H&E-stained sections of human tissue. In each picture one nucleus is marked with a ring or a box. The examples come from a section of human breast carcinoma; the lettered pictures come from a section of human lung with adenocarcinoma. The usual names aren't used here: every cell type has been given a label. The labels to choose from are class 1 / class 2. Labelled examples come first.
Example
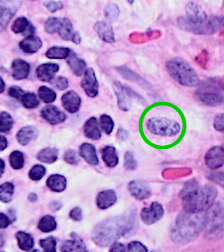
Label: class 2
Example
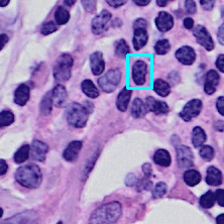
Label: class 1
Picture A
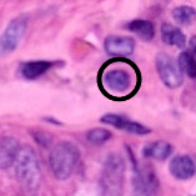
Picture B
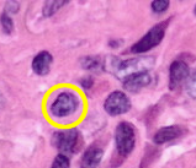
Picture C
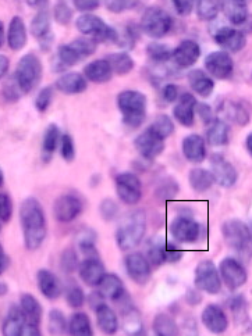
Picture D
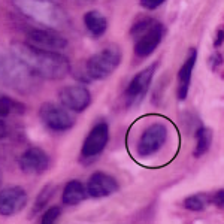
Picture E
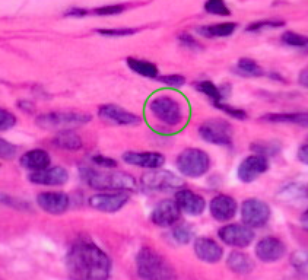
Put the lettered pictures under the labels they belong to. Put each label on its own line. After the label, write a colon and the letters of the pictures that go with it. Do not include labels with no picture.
class 1: C
class 2: A, B, D, E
